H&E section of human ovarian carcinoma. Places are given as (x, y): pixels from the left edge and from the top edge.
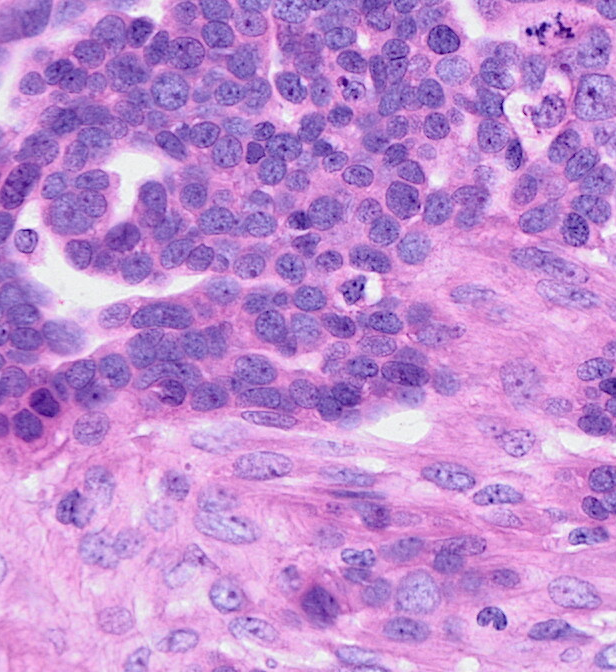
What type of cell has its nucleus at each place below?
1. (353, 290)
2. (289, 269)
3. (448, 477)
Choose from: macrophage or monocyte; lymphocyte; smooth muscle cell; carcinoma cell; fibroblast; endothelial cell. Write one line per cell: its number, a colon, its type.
1: macrophage or monocyte
2: carcinoma cell
3: fibroblast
